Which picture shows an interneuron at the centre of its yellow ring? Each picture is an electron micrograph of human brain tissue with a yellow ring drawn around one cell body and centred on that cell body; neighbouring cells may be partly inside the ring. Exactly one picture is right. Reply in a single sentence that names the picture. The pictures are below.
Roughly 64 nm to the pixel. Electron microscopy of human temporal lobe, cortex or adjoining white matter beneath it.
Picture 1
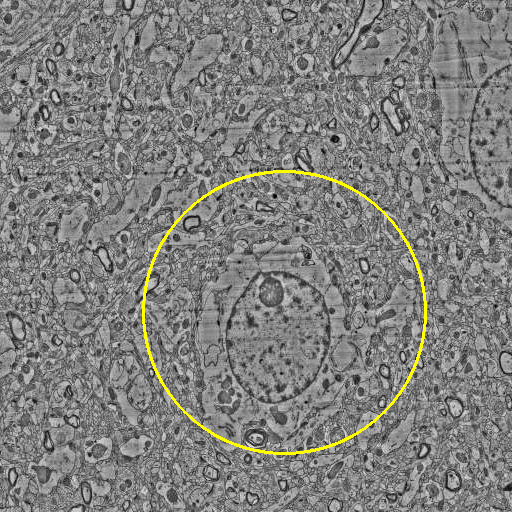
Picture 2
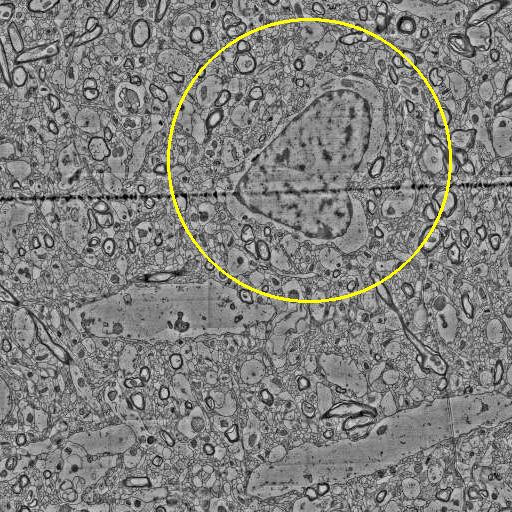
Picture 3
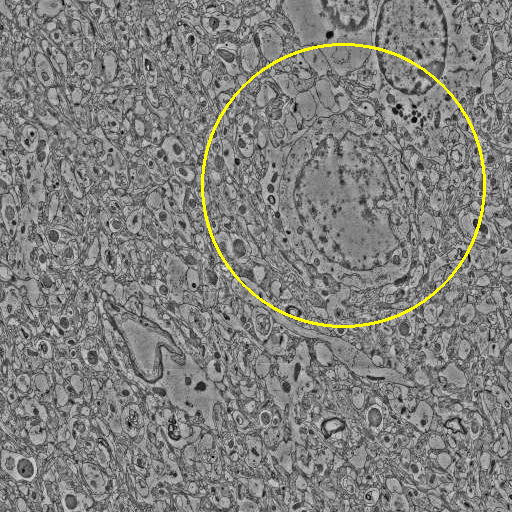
Picture 3 shows it.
